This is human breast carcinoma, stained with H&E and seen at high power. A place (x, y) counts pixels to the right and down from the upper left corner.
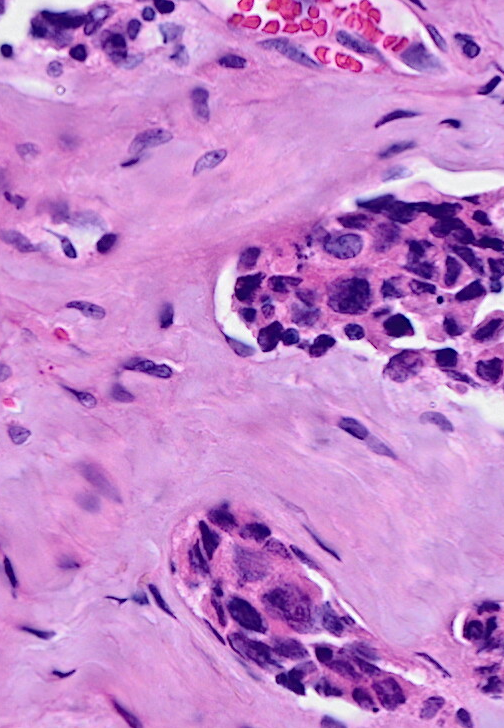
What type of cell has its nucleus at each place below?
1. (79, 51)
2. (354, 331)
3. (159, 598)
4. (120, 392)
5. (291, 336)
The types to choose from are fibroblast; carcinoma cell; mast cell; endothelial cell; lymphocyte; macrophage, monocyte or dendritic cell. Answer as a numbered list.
1. lymphocyte
2. lymphocyte
3. fibroblast
4. fibroblast
5. lymphocyte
